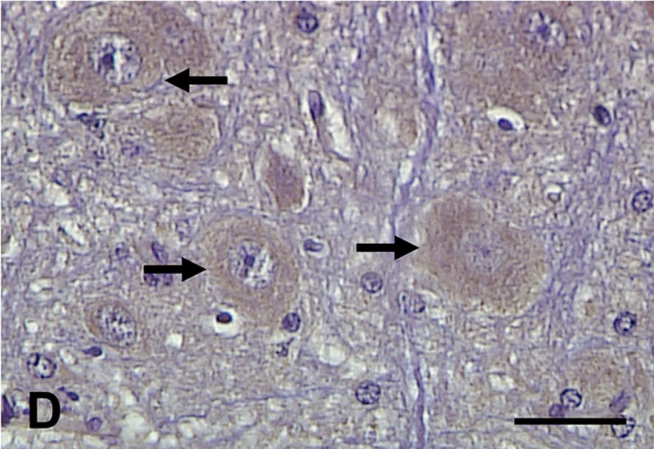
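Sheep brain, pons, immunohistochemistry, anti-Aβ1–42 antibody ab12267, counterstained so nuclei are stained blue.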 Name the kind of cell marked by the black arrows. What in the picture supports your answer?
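The arrows point at large round cell bodies with abundant pale brown cytoplasm. Small dark blue nuclei lie around them.
Conclusion: large neurons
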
